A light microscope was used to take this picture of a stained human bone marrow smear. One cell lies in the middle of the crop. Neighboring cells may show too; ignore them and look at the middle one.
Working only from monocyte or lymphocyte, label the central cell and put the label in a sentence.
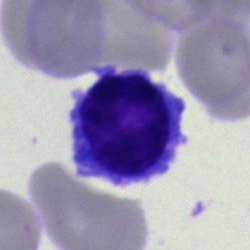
Positioned in the middle of the crop is a lymphocyte.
